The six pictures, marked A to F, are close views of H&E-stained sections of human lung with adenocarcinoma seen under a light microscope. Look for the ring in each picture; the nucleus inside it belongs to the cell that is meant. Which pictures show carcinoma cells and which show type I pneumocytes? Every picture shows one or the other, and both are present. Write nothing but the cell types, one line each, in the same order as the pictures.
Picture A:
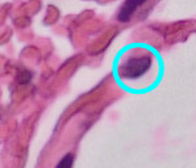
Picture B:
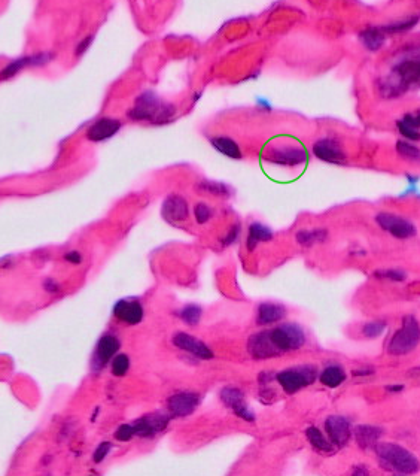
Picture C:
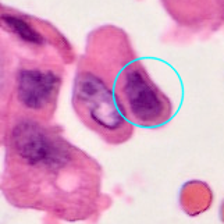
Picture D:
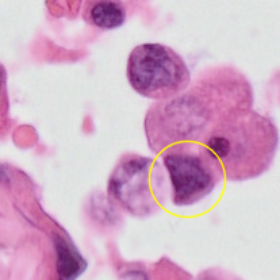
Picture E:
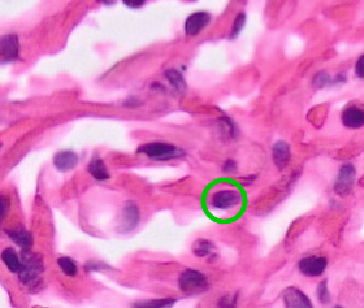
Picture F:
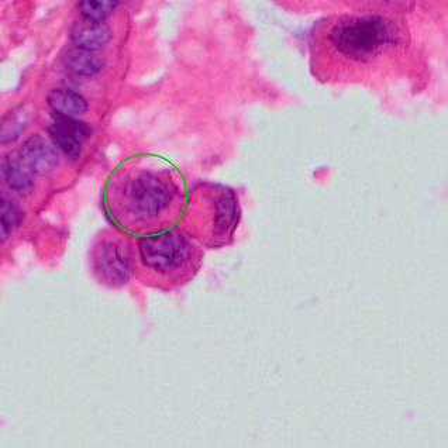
type I pneumocyte
type I pneumocyte
carcinoma cell
carcinoma cell
type I pneumocyte
carcinoma cell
